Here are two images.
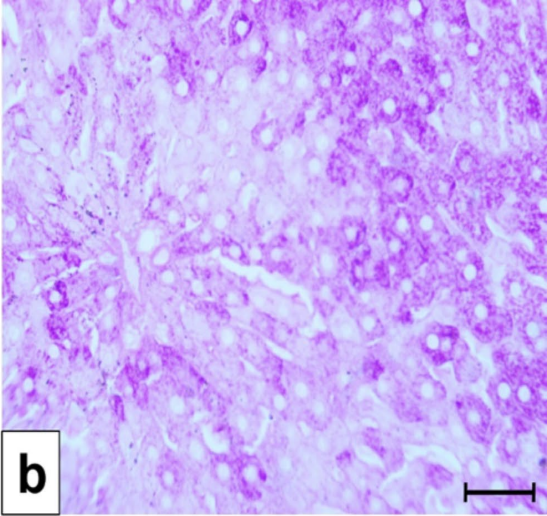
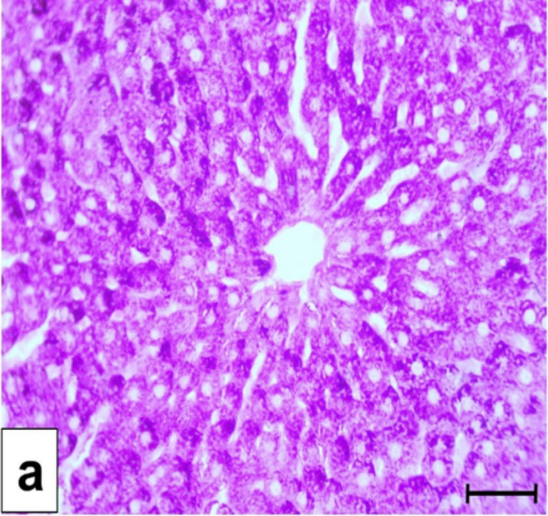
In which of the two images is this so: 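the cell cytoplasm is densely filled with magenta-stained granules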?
The second image.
